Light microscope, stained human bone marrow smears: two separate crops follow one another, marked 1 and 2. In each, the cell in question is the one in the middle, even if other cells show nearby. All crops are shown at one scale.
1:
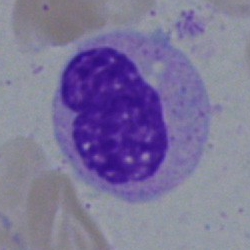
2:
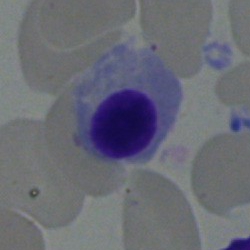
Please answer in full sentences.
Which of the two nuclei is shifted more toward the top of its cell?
It is the nucleus in crop 1 that lies further toward the top of its cell.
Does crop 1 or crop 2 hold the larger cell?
Larger is the cell in crop 1, at roughly 2 times the area of the other.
